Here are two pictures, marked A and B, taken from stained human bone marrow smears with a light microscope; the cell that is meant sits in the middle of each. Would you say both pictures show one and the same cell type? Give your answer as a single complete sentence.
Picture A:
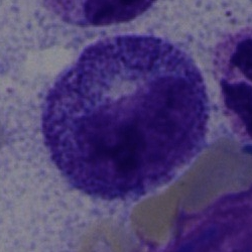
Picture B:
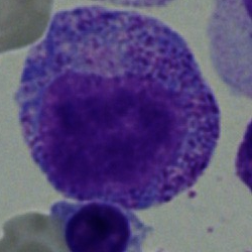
Yes, both cells are promyelocytes.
